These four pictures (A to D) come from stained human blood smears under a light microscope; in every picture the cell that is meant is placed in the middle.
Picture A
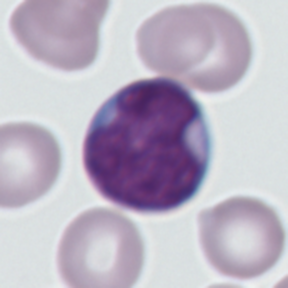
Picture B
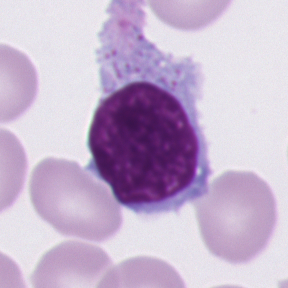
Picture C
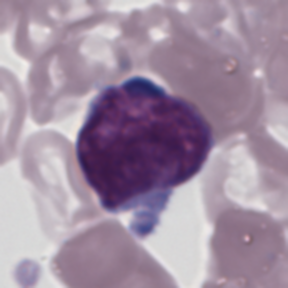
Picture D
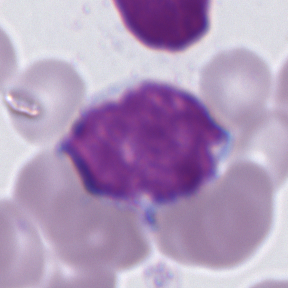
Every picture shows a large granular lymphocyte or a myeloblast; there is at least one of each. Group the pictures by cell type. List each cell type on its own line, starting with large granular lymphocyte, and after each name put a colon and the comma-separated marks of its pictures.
large granular lymphocyte: B, D
myeloblast: A, C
